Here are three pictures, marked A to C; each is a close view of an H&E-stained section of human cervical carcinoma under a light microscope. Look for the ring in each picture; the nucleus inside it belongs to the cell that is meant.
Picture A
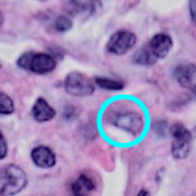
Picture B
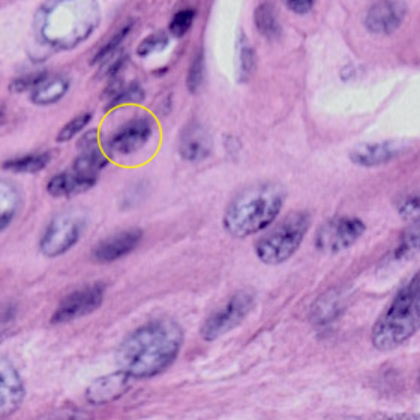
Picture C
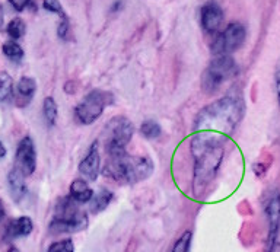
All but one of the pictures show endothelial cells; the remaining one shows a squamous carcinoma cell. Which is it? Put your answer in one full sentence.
The picture with the squamous carcinoma cell is B.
